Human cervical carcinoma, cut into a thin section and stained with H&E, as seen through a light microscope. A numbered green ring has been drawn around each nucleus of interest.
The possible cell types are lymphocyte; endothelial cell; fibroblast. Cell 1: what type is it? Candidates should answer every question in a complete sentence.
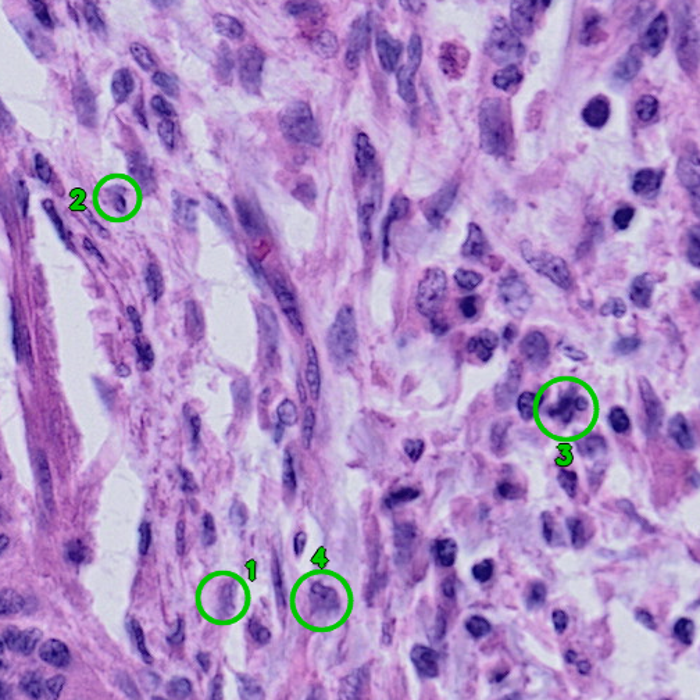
Heads up, the cell numbered 1 is a fibroblast.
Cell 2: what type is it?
The cell that carries the label 2 is a fibroblast.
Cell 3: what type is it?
Nucleus 3 in this section belongs to a lymphocyte.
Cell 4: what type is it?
The cell tagged with 4 in this tissue section is a fibroblast.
